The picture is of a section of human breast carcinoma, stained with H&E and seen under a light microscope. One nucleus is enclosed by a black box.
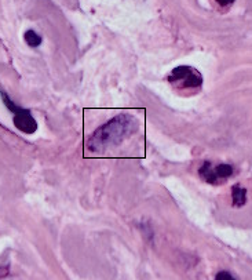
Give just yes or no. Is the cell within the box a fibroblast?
yes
